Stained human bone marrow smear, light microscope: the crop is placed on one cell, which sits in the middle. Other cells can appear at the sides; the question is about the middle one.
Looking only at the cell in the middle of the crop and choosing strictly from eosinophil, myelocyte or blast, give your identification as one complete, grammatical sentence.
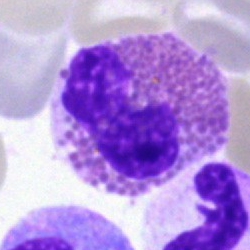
Classified as an eosinophil is the cell in the middle of this crop.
